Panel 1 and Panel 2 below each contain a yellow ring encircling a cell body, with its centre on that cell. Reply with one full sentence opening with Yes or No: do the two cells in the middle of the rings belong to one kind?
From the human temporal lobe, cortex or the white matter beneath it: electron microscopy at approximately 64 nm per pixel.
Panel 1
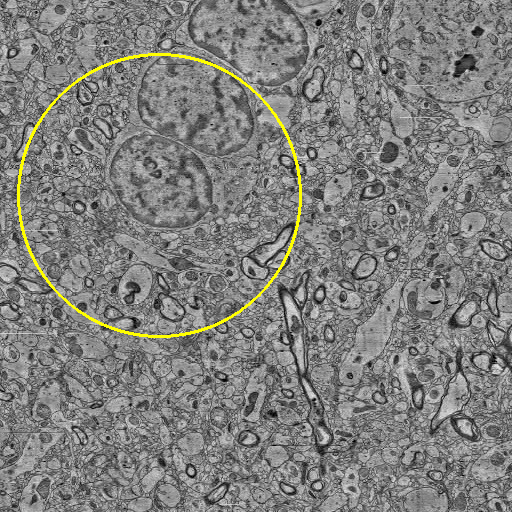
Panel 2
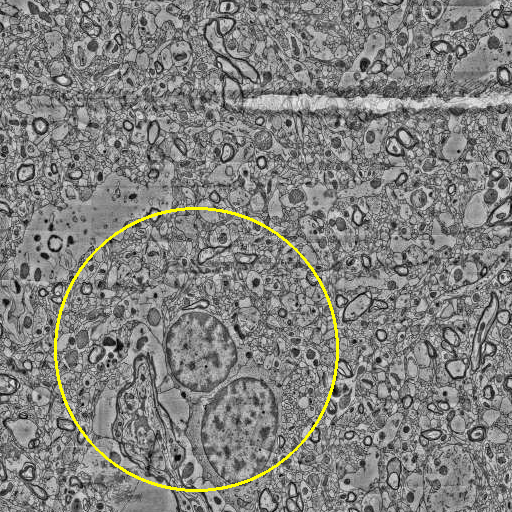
Yes, the cells at the middle of the Panel 1 ring and the Panel 2 ring are of one kind.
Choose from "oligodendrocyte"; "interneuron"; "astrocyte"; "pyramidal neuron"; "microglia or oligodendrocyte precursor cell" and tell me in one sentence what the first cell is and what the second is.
Each of the ringed cells, first and second, is an oligodendrocyte.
